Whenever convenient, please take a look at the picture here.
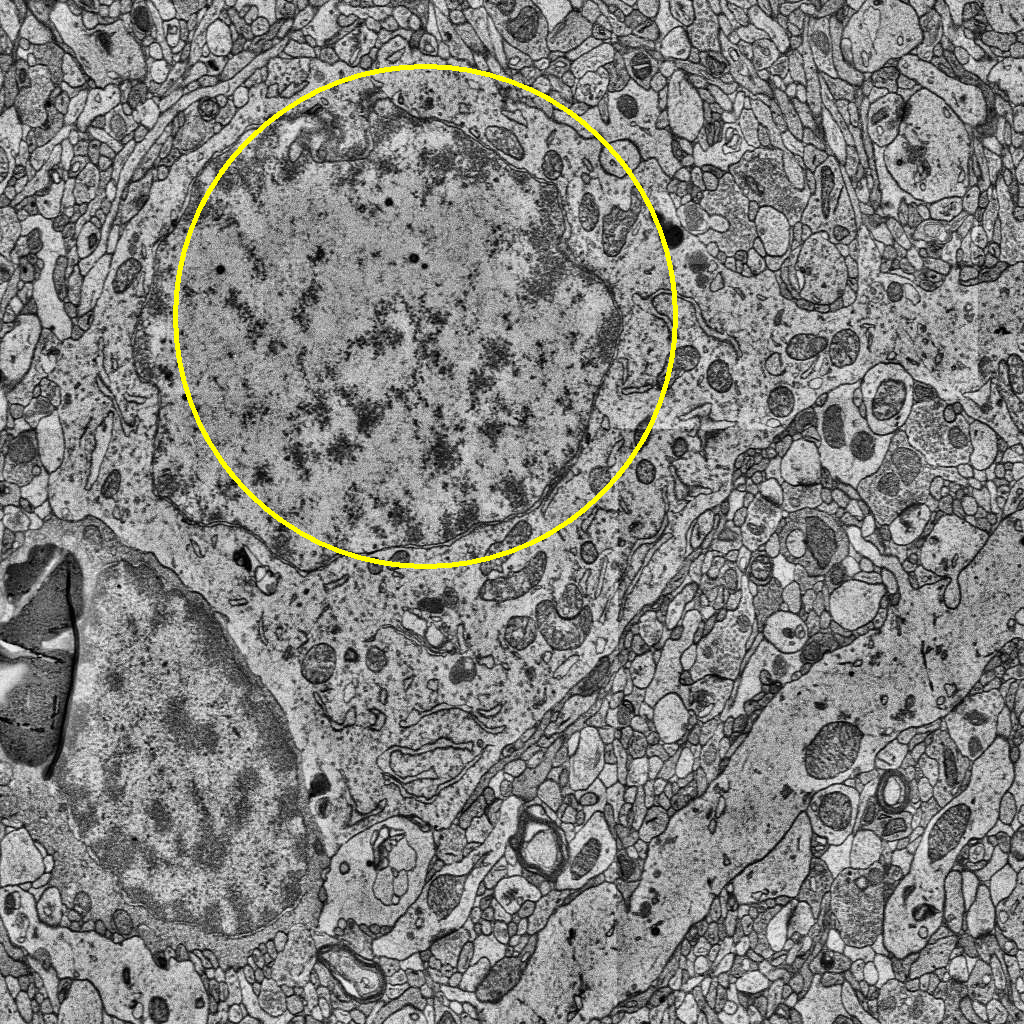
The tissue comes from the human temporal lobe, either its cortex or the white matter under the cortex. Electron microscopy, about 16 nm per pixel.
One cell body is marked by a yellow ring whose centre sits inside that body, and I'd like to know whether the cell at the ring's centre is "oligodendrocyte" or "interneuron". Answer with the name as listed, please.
interneuron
